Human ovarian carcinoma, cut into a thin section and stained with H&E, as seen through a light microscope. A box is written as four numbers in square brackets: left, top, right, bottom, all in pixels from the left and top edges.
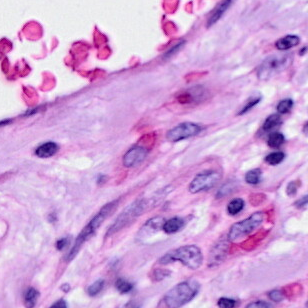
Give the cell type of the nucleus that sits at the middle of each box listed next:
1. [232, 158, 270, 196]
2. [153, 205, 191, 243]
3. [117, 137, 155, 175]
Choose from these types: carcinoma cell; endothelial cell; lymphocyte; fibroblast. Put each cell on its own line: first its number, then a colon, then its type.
1: lymphocyte
2: lymphocyte
3: endothelial cell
